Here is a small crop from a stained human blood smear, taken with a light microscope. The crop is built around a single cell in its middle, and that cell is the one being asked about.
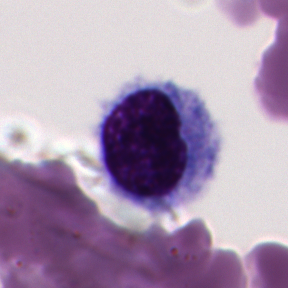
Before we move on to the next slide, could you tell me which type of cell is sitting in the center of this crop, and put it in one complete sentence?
The cell shown in the center of this light-microscope crop is a hairy cell.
